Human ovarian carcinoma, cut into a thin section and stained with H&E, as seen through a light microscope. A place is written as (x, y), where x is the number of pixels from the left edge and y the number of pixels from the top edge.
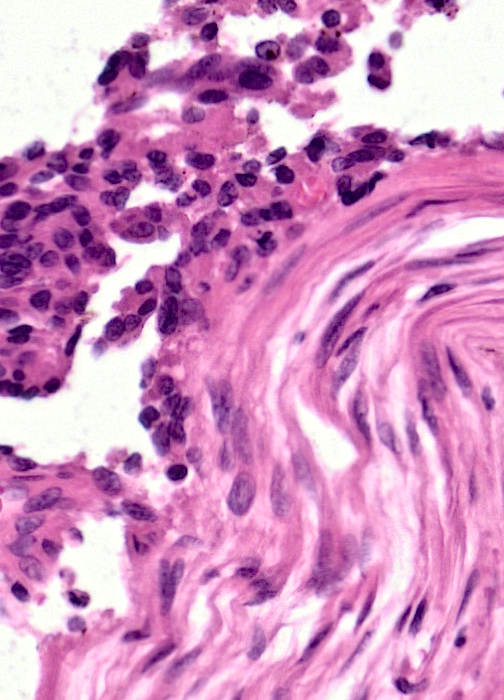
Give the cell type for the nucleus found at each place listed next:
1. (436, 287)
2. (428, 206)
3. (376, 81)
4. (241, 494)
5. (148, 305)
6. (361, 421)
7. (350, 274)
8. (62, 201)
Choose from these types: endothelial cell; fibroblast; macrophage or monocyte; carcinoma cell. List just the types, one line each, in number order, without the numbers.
fibroblast
fibroblast
carcinoma cell
fibroblast
carcinoma cell
fibroblast
fibroblast
carcinoma cell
